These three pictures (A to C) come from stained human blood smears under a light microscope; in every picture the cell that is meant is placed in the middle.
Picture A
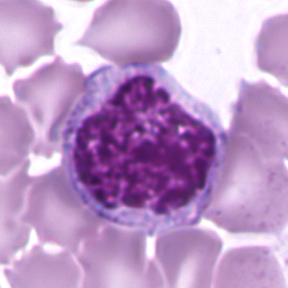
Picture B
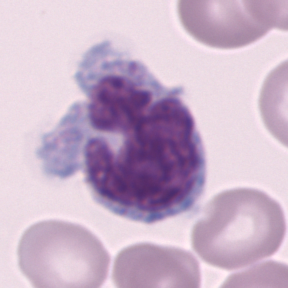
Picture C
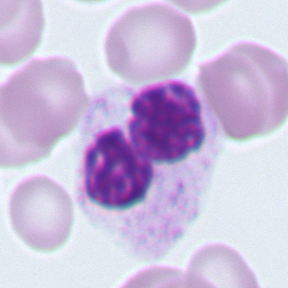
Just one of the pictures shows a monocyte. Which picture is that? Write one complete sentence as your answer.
It is picture B that shows the monocyte.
